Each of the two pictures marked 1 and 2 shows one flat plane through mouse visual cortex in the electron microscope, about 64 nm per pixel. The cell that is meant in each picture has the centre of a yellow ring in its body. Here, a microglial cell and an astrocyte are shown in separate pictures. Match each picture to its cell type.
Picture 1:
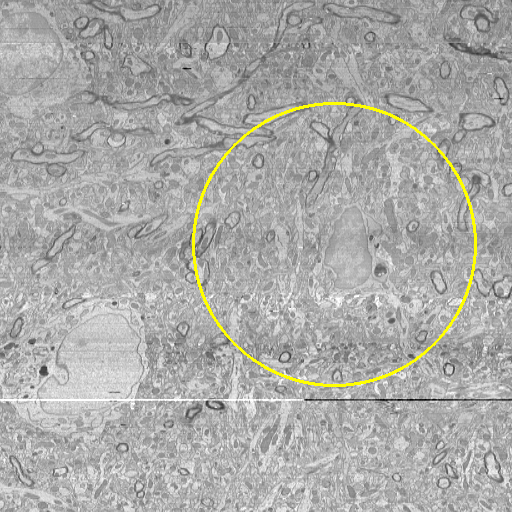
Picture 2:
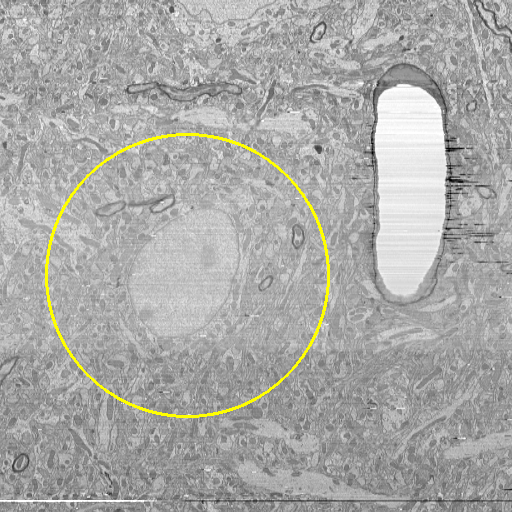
Picture 2 shows an astrocyte, while picture 1 shows a microglial cell.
